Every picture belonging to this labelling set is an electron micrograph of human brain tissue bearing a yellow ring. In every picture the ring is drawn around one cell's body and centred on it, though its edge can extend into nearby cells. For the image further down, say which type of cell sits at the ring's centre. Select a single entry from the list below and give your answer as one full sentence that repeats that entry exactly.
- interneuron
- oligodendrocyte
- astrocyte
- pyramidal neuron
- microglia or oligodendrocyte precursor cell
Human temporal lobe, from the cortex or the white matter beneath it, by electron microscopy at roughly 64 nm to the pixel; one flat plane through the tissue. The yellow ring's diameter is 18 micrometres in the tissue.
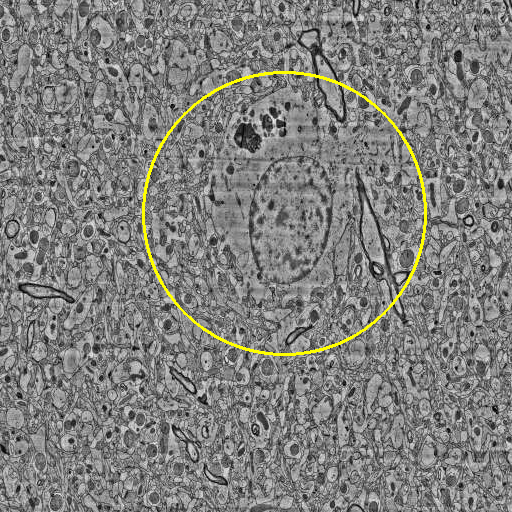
In the picture, an astrocyte is the cell at the centre of the yellow ring.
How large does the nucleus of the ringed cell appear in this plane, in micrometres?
About 8 by 5 micrometres, the nucleus being clearly longer than it is wide in this plane.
